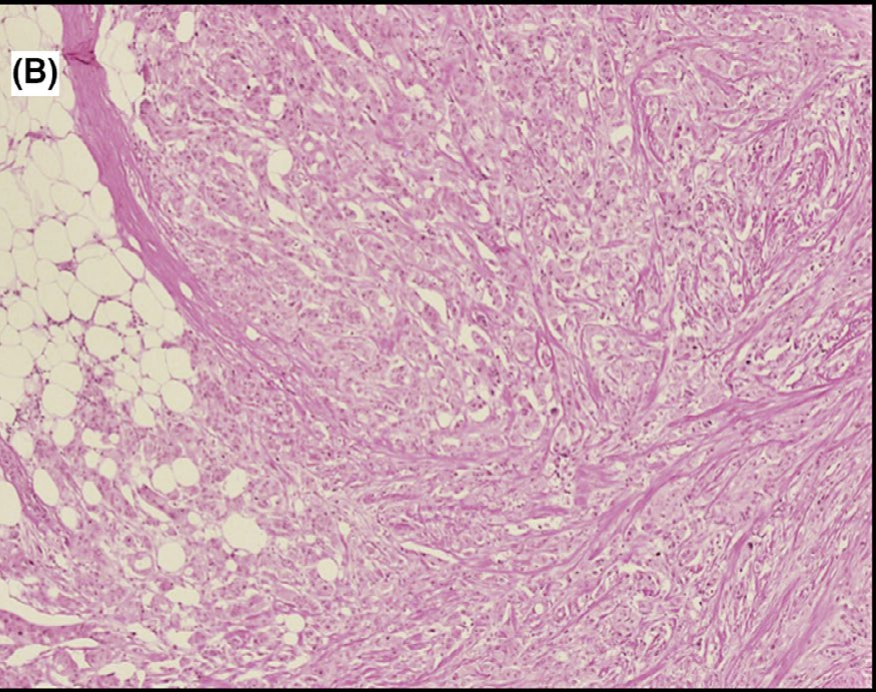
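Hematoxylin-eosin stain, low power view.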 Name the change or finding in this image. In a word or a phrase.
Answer: infiltrative growth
